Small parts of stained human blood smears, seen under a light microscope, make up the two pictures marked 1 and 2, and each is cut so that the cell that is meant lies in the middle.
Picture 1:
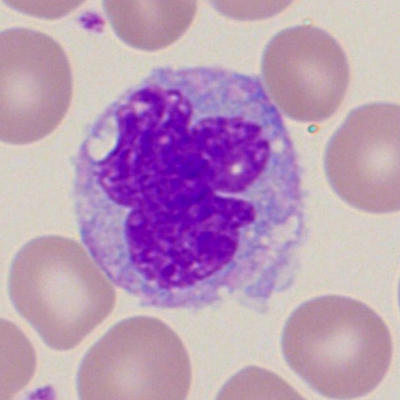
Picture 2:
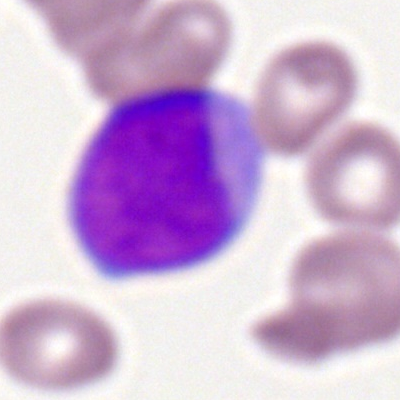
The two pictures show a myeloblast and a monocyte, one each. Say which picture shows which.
1: monocyte
2: myeloblast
